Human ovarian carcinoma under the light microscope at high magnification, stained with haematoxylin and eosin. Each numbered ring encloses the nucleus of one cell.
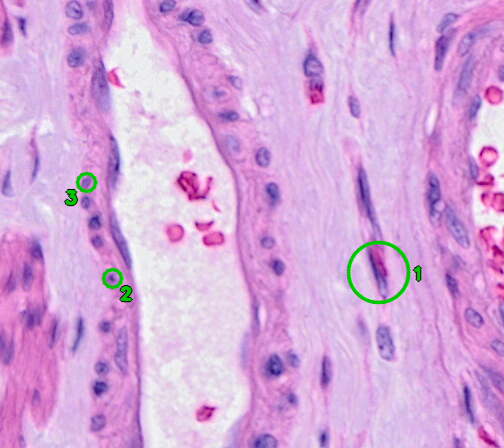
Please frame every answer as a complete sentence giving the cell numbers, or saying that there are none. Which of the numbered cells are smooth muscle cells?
Cells 2 and 3 share one type; they are smooth muscle cells.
